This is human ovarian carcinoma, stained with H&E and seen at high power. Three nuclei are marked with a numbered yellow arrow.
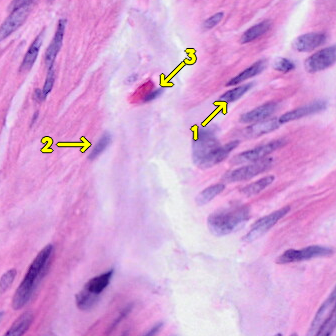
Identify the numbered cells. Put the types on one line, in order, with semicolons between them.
smooth muscle cell; smooth muscle cell; endothelial cell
